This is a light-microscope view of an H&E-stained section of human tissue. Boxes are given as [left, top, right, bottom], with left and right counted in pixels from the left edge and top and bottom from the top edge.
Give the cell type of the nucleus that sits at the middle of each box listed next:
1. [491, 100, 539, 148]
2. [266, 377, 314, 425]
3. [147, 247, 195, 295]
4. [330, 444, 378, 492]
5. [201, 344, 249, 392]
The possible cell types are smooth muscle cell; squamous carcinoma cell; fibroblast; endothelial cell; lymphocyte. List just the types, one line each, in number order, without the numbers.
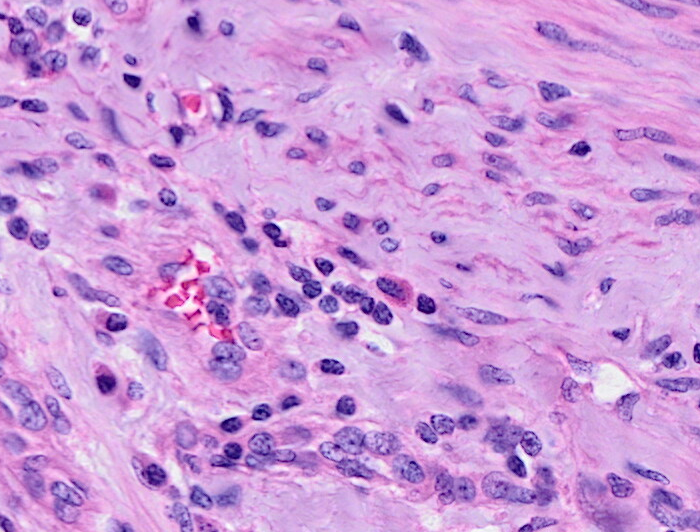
smooth muscle cell
lymphocyte
endothelial cell
endothelial cell
endothelial cell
